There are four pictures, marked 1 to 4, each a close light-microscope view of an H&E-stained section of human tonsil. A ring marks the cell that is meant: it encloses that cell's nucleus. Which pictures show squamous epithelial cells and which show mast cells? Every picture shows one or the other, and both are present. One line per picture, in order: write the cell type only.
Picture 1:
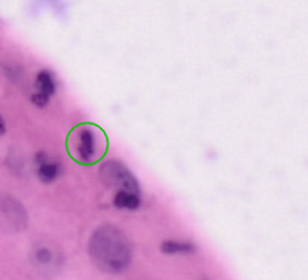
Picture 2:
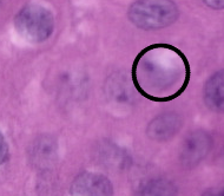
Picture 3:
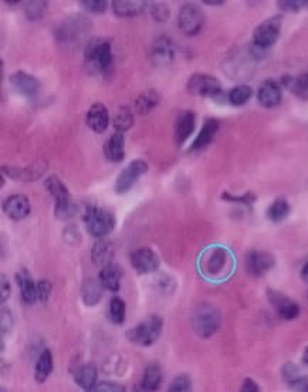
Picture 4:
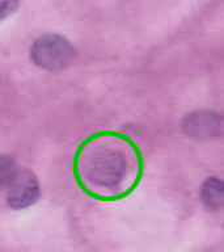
squamous epithelial cell
squamous epithelial cell
mast cell
squamous epithelial cell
